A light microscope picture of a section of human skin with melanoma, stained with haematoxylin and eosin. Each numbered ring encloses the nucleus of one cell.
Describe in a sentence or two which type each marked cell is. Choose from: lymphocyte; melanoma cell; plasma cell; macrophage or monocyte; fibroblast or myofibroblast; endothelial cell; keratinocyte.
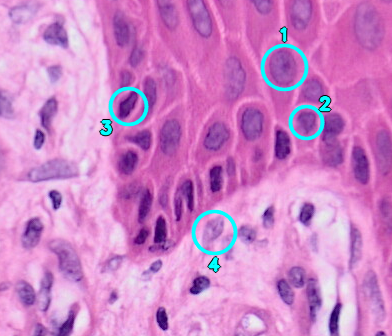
Cells 1, 2 and 3 are keratinocytes. Cell 4 is a fibroblast or myofibroblast.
